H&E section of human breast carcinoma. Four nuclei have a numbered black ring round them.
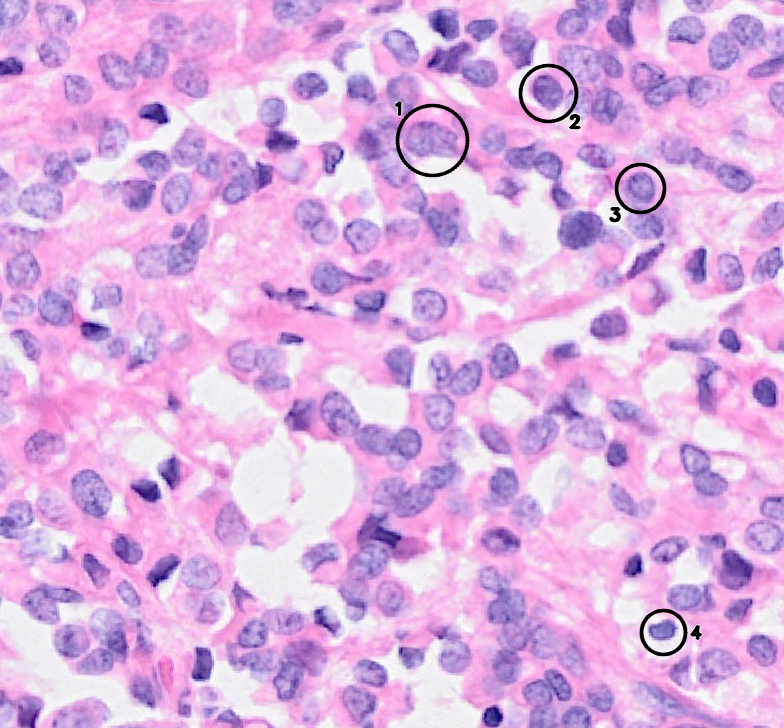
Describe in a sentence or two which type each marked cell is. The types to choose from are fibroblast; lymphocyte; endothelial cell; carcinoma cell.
Cell 1 is a carcinoma cell, cell 2 is a carcinoma cell, cell 3 is a carcinoma cell and cell 4 is a lymphocyte.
